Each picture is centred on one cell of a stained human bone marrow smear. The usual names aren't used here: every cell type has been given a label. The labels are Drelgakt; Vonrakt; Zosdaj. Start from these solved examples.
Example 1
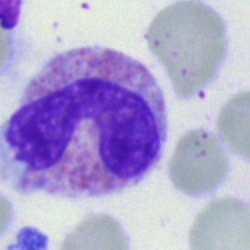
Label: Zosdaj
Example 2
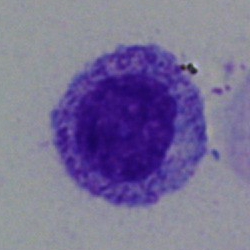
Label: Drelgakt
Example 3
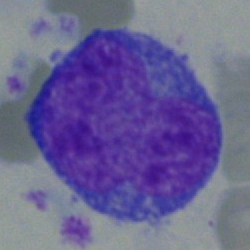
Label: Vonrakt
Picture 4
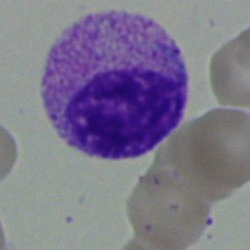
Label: Drelgakt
